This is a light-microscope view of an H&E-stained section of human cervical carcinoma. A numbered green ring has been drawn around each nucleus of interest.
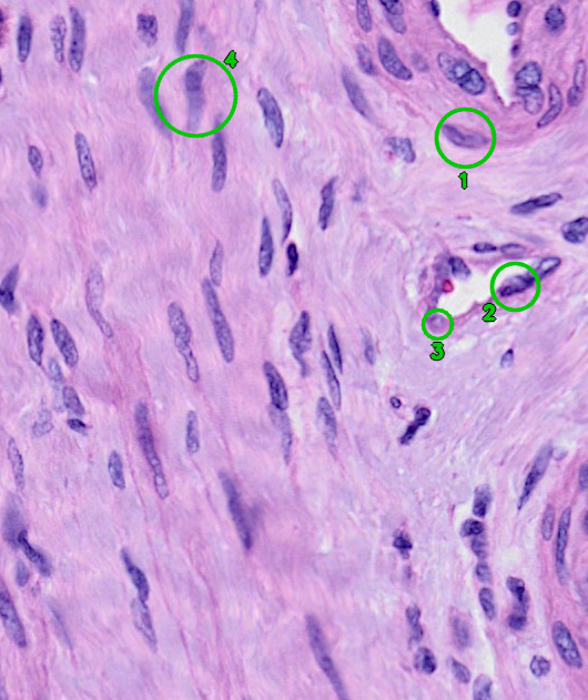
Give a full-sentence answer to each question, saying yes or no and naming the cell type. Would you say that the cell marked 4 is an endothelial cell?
No, the cell referred to as 4 is a fibroblast, not an endothelial cell.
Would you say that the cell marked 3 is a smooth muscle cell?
No, cell 3 is not a smooth muscle cell; it is an endothelial cell.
